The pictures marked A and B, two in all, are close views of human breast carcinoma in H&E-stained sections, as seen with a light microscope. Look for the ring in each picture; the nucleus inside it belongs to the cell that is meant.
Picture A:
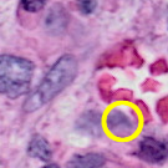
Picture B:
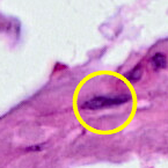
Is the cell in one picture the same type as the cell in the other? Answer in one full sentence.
No, they differ: the cell is an endothelial cell in picture A and a fibroblast in picture B.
